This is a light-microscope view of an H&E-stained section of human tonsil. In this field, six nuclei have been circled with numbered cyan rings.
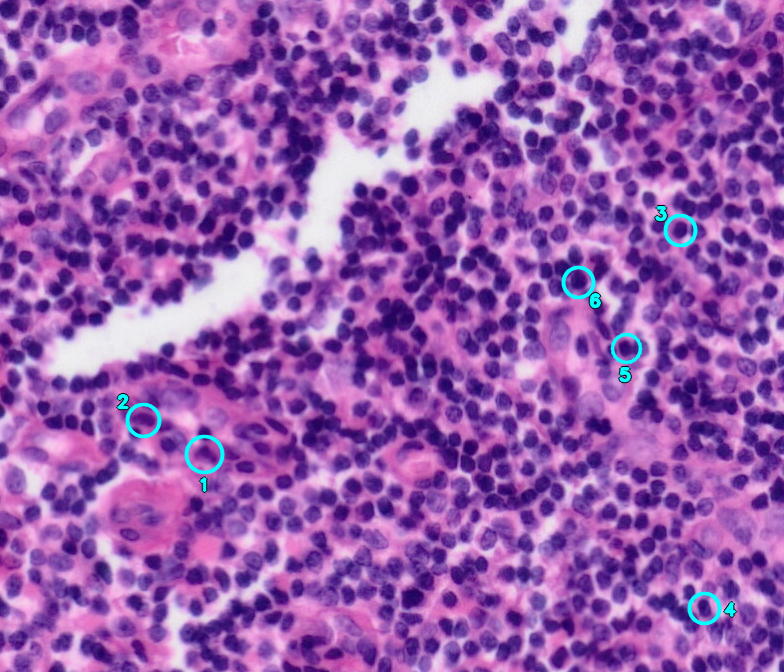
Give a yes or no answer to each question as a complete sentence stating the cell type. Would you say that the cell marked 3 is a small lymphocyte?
Yes, exactly, the cell numbered 3 is a small lymphocyte.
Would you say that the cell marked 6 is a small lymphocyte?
Yes, the cell labelled with number 6 is a small lymphocyte.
